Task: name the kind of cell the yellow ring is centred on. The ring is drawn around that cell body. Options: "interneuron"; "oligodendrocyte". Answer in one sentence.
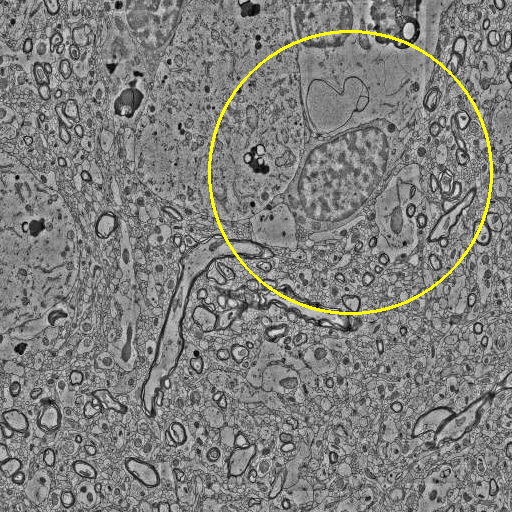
This cell body belongs to an oligodendrocyte.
